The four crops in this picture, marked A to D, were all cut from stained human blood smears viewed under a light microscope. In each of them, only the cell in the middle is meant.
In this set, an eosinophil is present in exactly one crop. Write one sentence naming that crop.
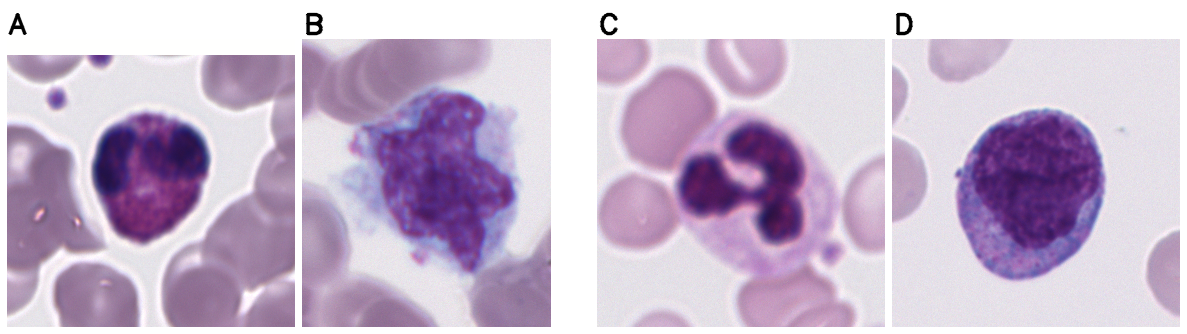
Crop A is the one in this set that shows an eosinophil.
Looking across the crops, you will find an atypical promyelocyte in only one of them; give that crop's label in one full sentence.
Crop D is the single crop that shows an atypical promyelocyte.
